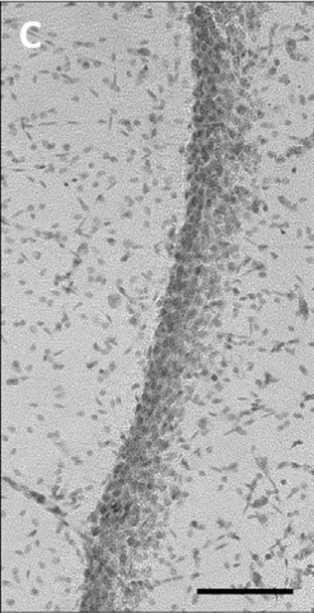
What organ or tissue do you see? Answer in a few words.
Stratum pyramidale.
